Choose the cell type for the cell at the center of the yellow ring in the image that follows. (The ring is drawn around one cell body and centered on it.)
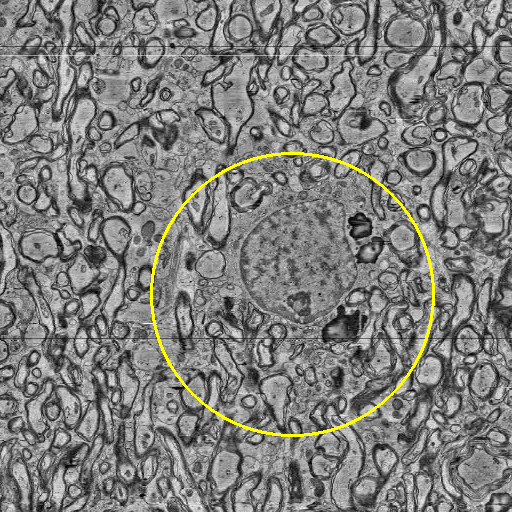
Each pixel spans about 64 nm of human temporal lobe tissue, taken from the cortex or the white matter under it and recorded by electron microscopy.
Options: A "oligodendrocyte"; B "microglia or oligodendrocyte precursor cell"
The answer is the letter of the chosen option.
A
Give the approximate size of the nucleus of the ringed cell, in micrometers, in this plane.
Roughly 8 micrometers across in this plane.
